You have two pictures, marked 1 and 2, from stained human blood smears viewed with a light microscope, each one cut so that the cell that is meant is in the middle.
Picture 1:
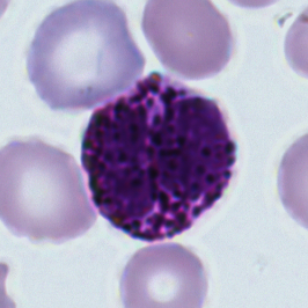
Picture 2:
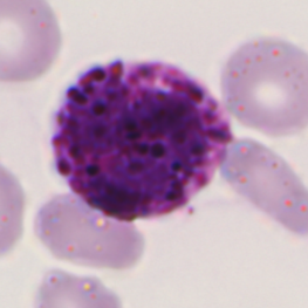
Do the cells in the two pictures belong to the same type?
yes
